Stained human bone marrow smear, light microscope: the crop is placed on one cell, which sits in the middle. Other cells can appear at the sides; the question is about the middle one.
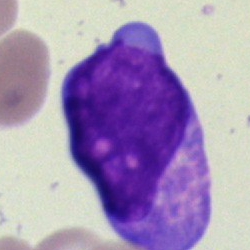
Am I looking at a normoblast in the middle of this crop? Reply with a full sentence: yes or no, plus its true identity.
No, the centred cell is a blast, and it is not a normoblast.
